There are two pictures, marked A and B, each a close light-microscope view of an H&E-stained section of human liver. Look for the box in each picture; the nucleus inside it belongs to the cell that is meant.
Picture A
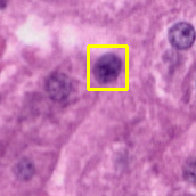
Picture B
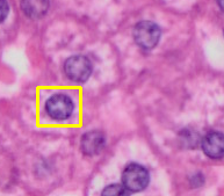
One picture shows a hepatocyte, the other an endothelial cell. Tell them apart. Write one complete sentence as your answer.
The cell in picture A is an endothelial cell, and the one in picture B is a hepatocyte.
